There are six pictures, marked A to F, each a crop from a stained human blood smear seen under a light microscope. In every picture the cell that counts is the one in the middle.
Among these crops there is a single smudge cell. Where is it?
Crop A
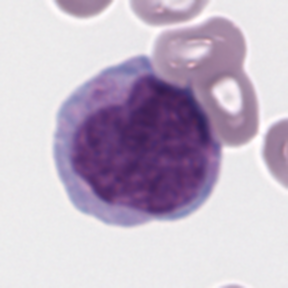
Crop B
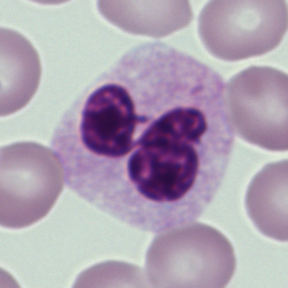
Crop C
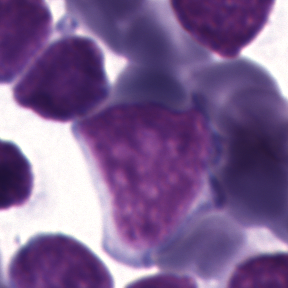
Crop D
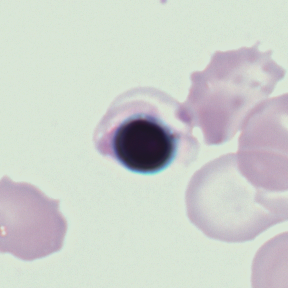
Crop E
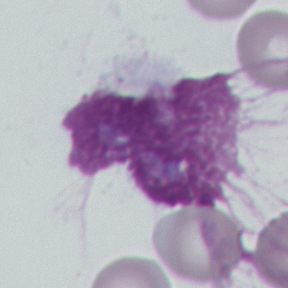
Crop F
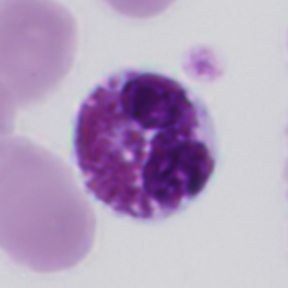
E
